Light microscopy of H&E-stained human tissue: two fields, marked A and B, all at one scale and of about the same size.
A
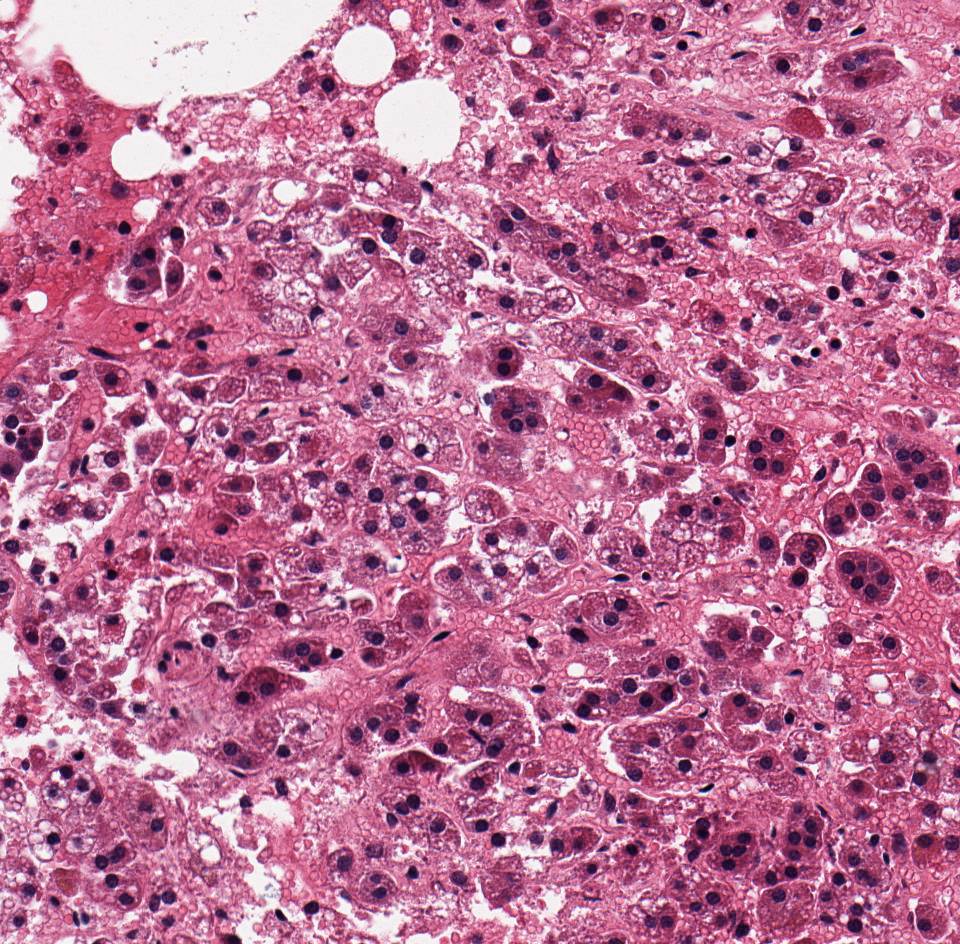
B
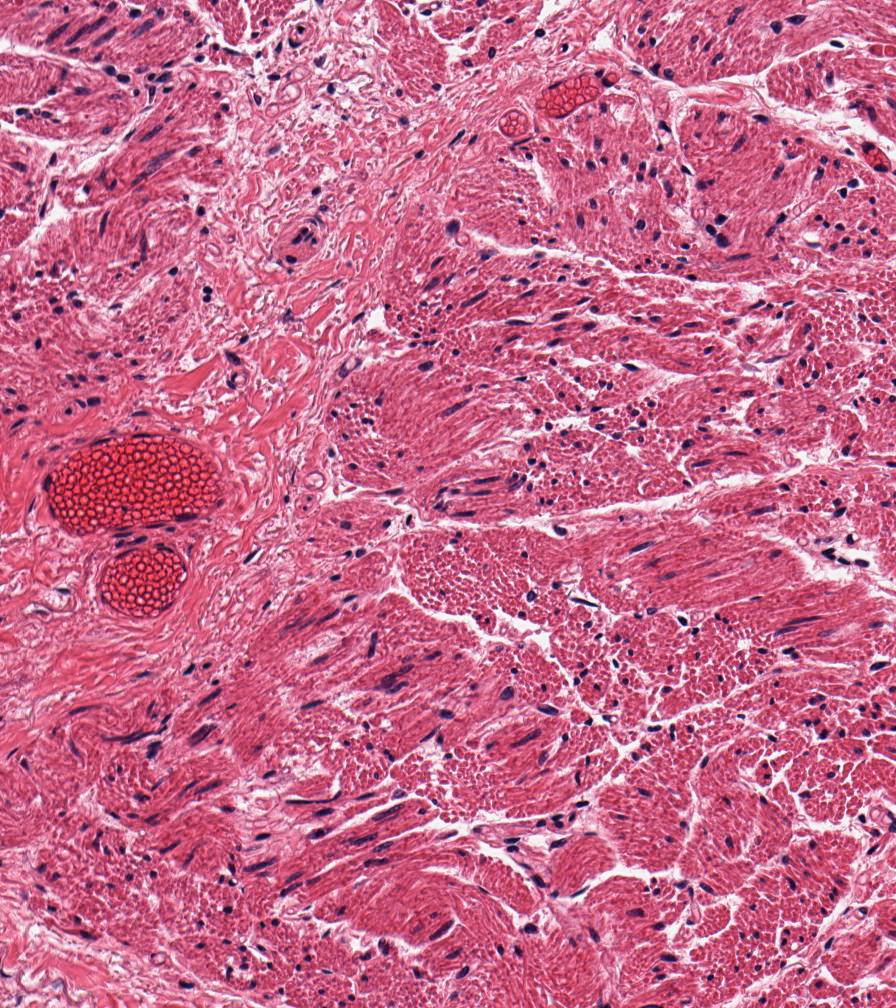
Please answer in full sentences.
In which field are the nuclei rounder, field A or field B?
It is field A whose nuclei are the rounder.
